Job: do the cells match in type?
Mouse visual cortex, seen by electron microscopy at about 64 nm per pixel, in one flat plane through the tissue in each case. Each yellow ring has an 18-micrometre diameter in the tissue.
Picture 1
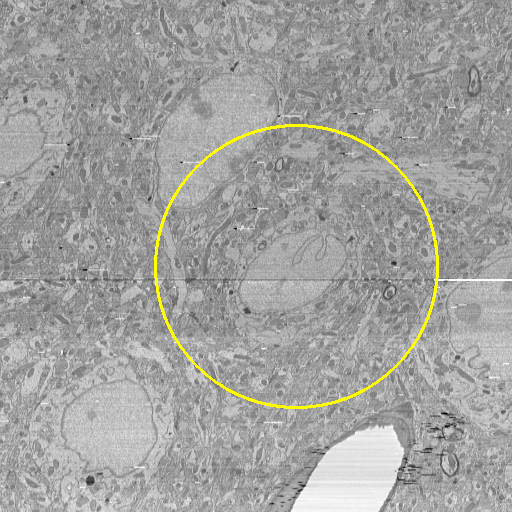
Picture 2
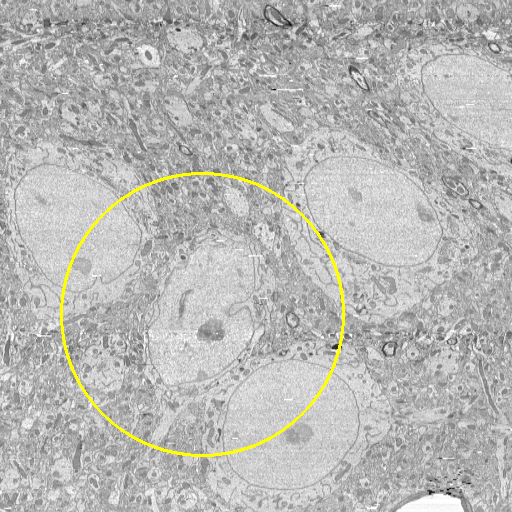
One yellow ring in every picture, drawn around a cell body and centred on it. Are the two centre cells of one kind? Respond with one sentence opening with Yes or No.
Yes, the ringed cells in the two pictures are of one and the same kind.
